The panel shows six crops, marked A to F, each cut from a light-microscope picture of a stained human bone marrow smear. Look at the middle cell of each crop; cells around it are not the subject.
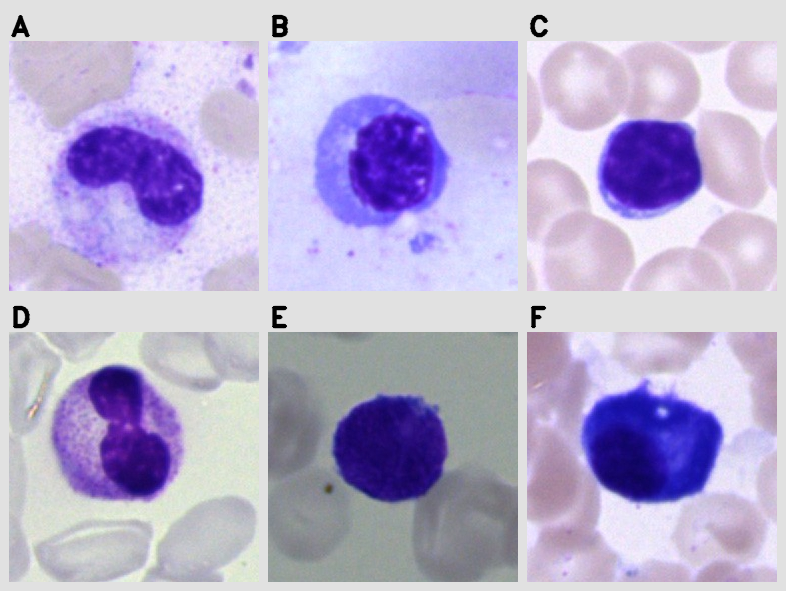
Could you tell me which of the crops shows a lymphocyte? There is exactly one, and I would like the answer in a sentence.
Crop C is the one that shows a lymphocyte.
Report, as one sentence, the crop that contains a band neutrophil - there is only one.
In this set, crop A is the one showing a band neutrophil.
